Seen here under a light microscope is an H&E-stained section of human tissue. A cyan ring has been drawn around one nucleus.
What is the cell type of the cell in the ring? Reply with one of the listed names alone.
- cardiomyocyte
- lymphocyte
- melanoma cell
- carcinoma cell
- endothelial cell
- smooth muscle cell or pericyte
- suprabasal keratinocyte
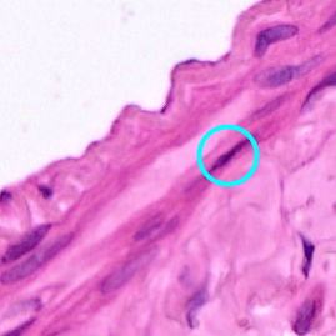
smooth muscle cell or pericyte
